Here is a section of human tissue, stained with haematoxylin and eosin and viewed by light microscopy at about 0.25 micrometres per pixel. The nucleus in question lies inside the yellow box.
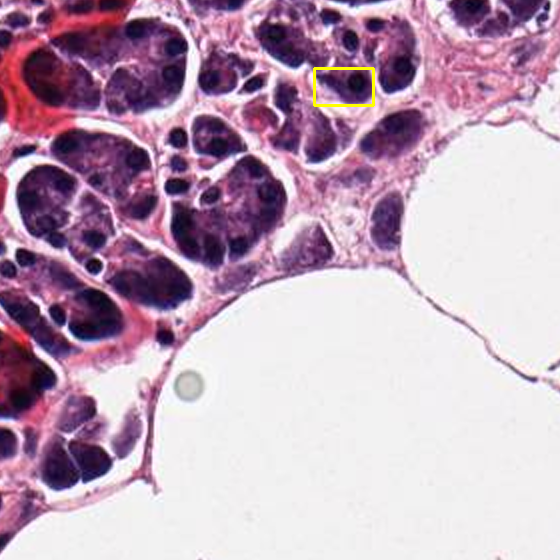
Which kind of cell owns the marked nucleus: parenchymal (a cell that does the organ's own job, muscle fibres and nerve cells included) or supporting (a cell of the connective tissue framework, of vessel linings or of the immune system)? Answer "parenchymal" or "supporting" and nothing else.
parenchymal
